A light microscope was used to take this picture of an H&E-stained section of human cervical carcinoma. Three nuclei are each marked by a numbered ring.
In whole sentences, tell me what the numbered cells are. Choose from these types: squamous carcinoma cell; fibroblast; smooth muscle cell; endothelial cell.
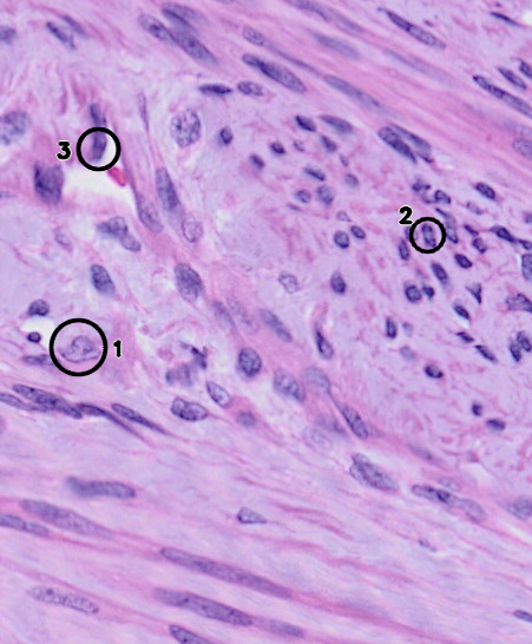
Cell 1 is an endothelial cell, cell 2 is a smooth muscle cell and cell 3 is an endothelial cell.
